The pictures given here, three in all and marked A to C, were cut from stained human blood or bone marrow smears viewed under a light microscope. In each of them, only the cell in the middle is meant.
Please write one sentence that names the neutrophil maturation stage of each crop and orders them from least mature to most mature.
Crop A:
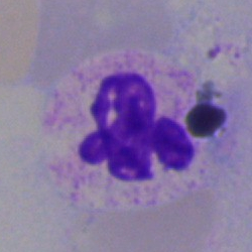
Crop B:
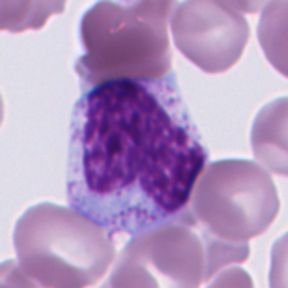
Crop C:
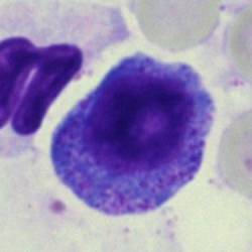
From least mature through to most mature, the order is crop C (a promyelocyte), crop B (a band neutrophil) and crop A (a segmented neutrophil).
